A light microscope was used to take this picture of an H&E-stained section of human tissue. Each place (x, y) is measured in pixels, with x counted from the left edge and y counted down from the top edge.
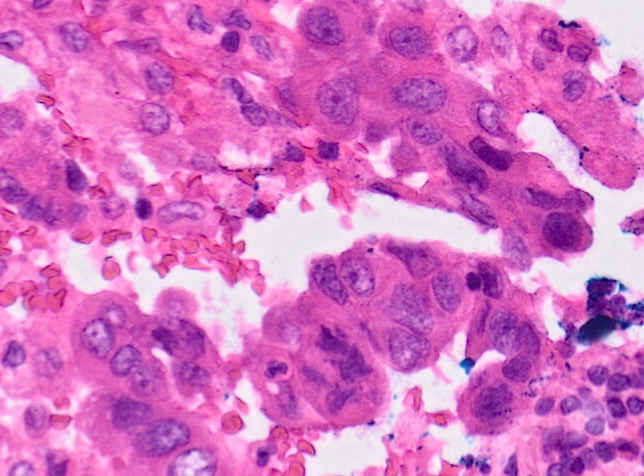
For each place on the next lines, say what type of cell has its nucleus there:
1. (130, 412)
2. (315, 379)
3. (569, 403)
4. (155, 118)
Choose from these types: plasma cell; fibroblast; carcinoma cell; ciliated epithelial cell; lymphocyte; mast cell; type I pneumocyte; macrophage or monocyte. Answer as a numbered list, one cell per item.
1. carcinoma cell
2. carcinoma cell
3. lymphocyte
4. macrophage or monocyte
